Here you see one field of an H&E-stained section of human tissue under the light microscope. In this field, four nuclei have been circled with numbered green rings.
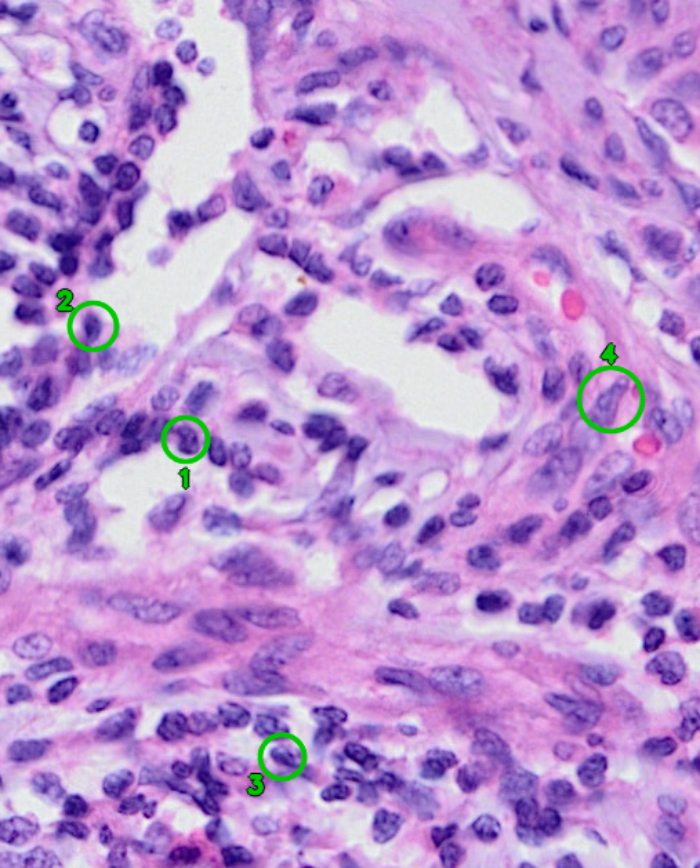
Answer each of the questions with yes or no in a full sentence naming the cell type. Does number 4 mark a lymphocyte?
No, cell 4 does not count as a lymphocyte; it is an endothelial cell.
